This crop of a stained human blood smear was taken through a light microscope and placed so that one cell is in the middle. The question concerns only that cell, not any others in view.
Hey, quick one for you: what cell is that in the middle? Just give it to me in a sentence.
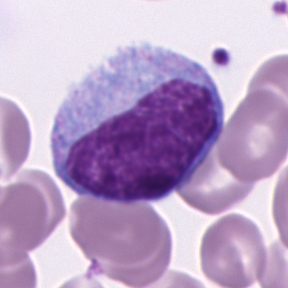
In the center of this field lies a monocyte.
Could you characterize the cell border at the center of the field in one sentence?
Its periphery is smooth, and no projections arise from it.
